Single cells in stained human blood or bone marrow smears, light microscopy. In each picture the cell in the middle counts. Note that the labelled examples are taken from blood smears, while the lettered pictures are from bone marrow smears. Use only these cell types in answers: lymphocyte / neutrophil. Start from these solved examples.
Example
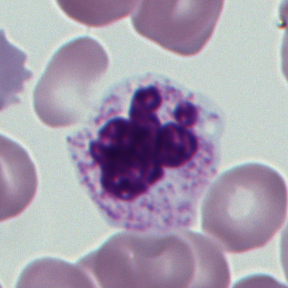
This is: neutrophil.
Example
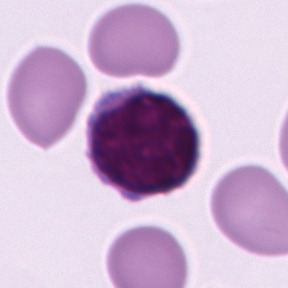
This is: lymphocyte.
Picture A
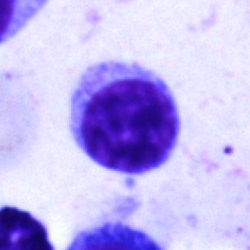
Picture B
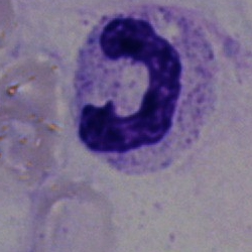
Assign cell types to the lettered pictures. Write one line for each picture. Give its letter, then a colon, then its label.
A: lymphocyte.
B: neutrophil.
